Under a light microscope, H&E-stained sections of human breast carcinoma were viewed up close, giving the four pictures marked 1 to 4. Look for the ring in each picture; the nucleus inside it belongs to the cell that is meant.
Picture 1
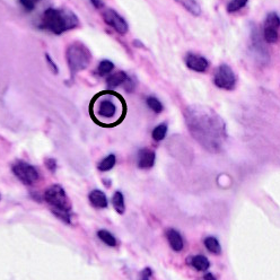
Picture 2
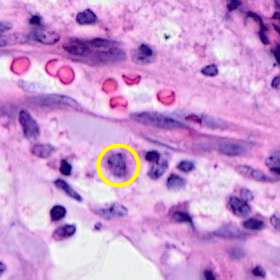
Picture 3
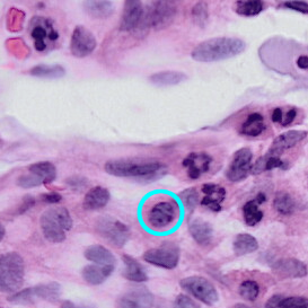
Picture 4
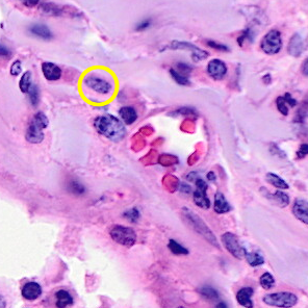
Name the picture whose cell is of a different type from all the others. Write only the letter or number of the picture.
1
